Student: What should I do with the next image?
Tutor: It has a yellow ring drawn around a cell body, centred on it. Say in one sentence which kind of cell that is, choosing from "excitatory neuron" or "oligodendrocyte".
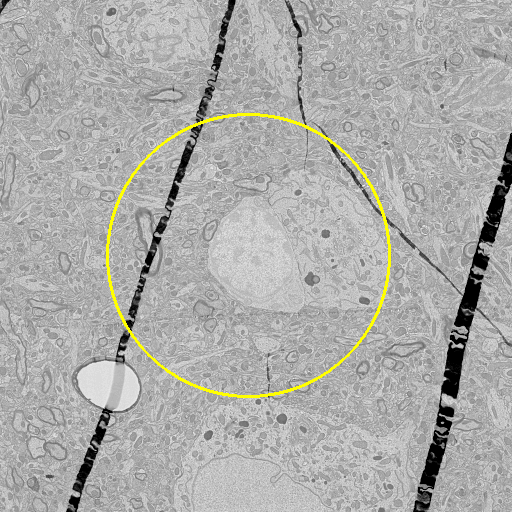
The ring's centre is occupied by an oligodendrocyte.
